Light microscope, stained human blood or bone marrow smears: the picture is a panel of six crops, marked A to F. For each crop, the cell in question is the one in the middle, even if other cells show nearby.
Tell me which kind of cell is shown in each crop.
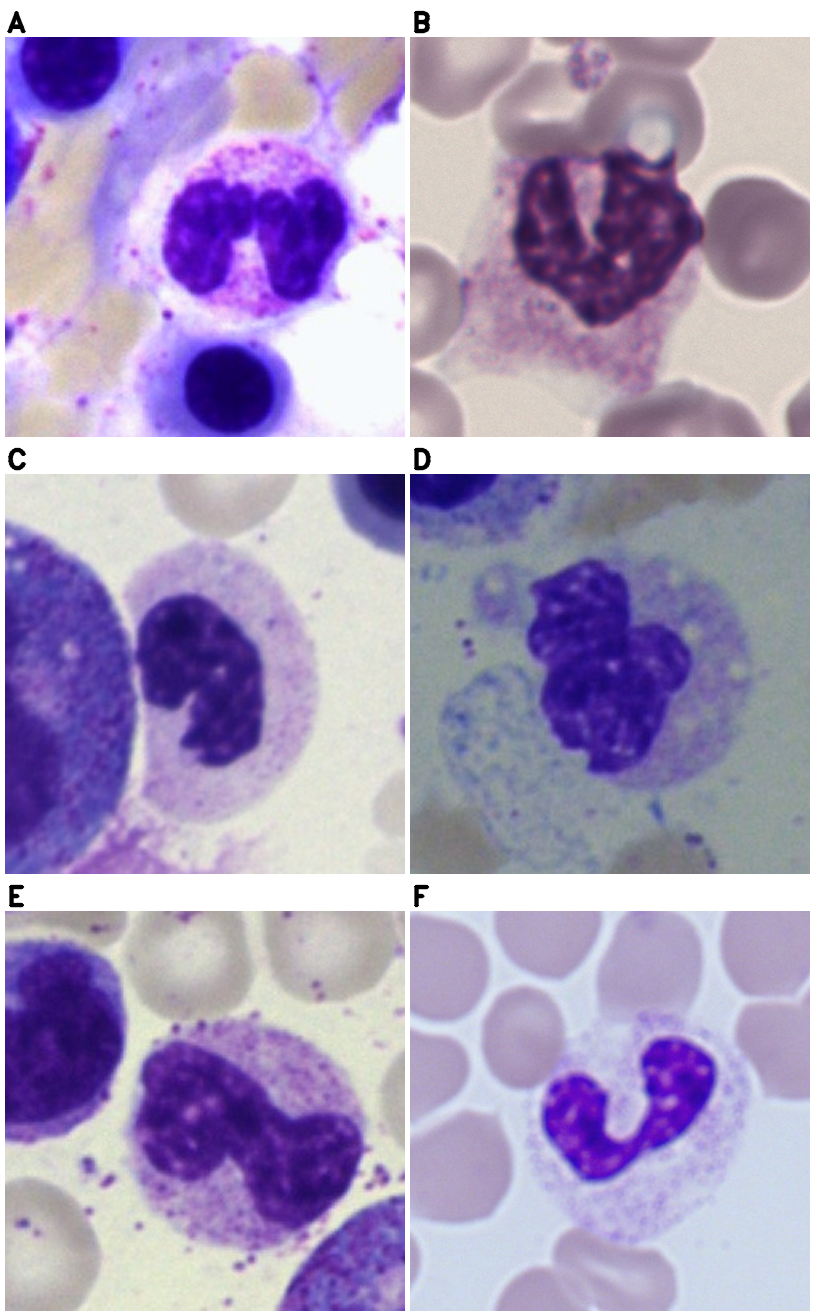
A: segmented neutrophil
B: segmented neutrophil
C: band neutrophil
D: segmented neutrophil
E: band neutrophil
F: band neutrophil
